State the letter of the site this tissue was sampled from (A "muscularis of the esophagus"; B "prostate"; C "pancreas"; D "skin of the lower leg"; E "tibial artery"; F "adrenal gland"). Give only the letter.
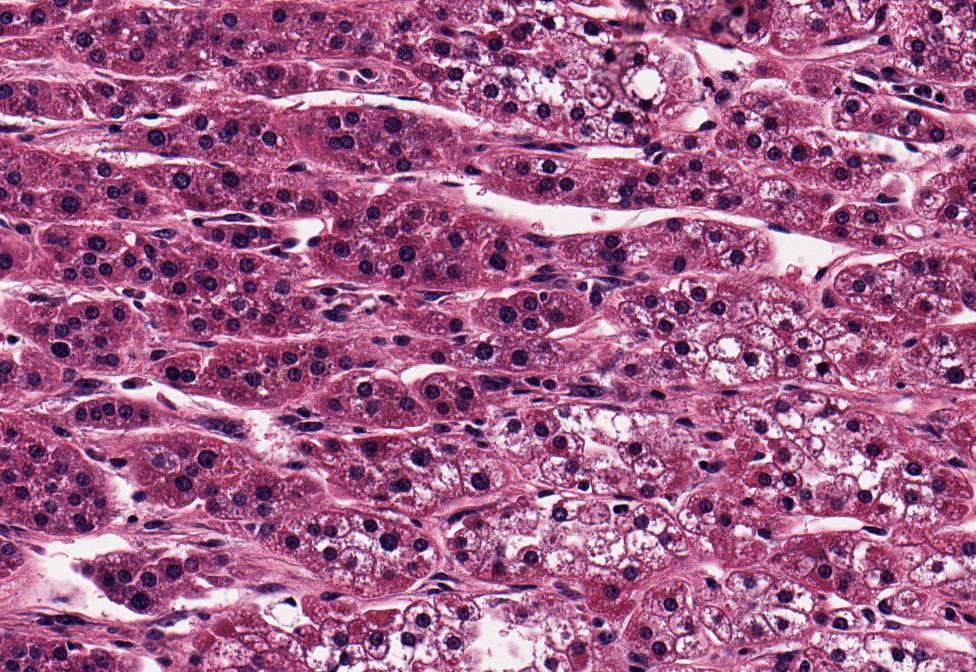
F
